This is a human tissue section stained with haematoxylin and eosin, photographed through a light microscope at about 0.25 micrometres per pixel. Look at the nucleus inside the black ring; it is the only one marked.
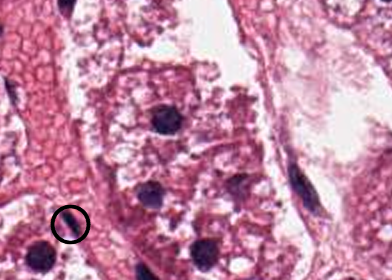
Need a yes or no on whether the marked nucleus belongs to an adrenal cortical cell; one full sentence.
No, the owner of the marked nucleus is a supporting cell, not an adrenal cortical cell.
